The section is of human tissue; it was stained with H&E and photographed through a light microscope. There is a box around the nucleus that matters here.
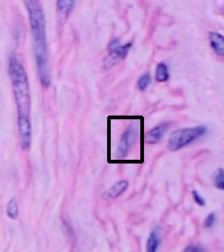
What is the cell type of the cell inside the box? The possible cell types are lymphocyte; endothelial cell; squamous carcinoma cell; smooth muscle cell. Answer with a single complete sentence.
Right, so the cell inside the box is a smooth muscle cell, to answer that.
